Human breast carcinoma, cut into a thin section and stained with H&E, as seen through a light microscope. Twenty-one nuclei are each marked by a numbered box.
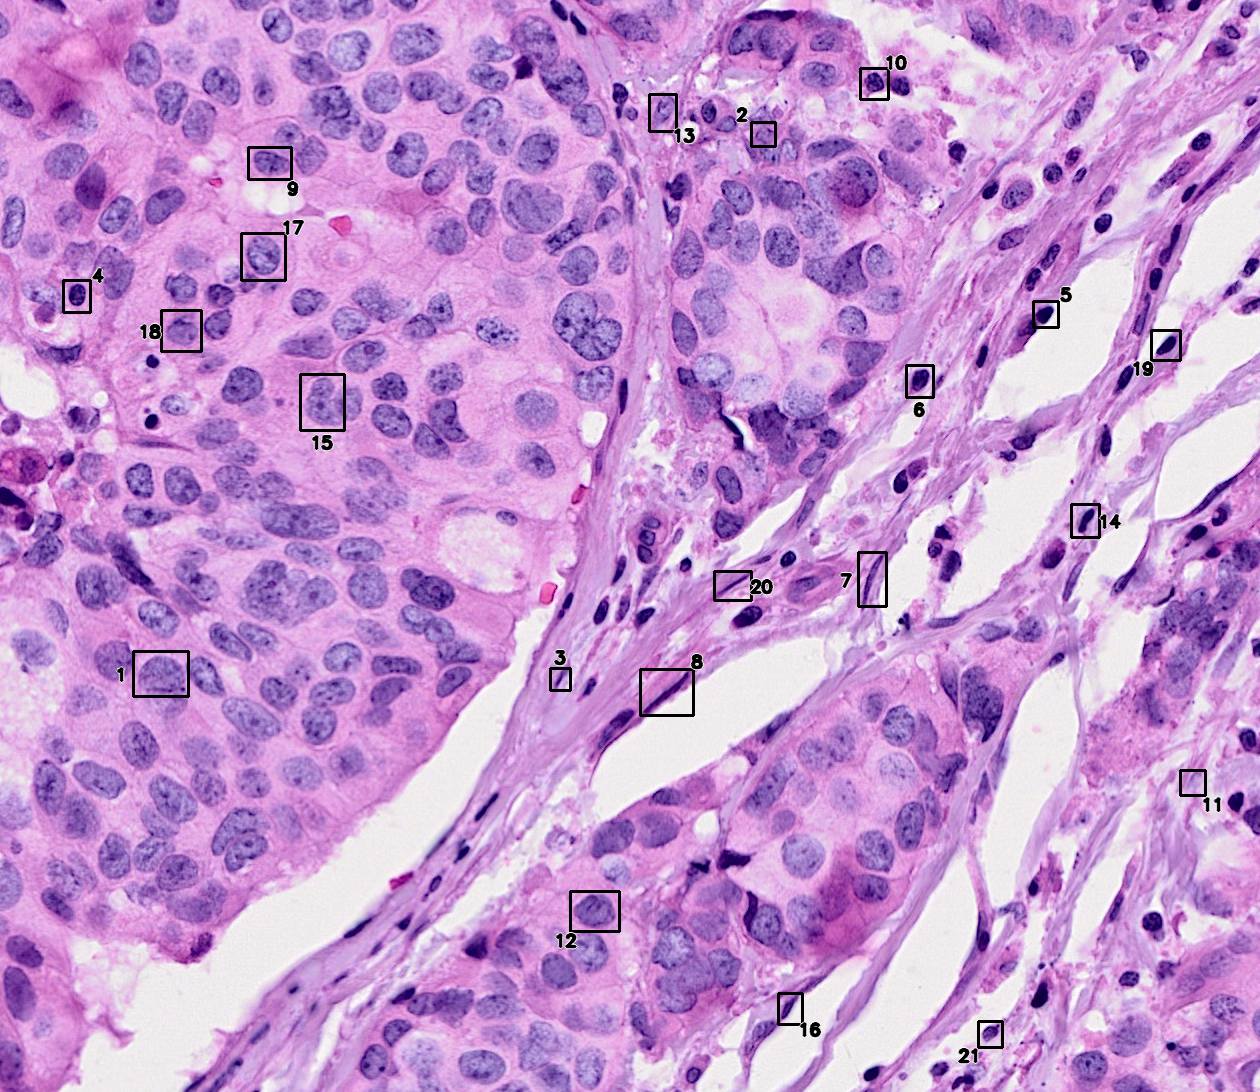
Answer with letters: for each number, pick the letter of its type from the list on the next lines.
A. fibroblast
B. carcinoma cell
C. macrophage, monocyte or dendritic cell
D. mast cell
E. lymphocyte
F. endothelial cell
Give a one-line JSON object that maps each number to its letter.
{"1": "B", "2": "F", "3": "A", "4": "E", "5": "E", "6": "E", "7": "A", "8": "A", "9": "B", "10": "E", "11": "A", "12": "B", "13": "C", "14": "E", "15": "B", "16": "A", "17": "B", "18": "B", "19": "E", "20": "A", "21": "E"}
